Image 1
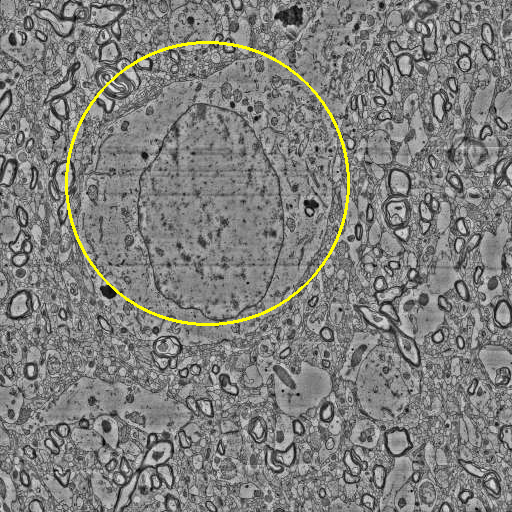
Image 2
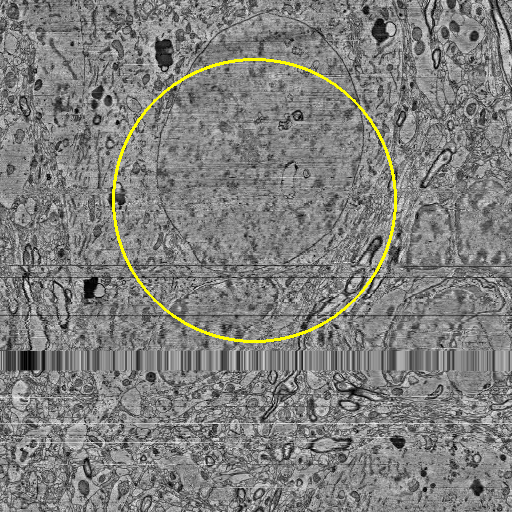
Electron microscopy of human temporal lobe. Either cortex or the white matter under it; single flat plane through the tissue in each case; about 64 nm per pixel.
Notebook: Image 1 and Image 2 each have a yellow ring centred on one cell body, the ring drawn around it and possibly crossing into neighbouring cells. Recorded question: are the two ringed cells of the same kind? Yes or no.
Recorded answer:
yes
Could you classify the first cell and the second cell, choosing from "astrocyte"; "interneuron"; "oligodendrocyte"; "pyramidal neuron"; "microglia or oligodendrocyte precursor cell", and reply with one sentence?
Each of the ringed cells, first and second, is a pyramidal neuron.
